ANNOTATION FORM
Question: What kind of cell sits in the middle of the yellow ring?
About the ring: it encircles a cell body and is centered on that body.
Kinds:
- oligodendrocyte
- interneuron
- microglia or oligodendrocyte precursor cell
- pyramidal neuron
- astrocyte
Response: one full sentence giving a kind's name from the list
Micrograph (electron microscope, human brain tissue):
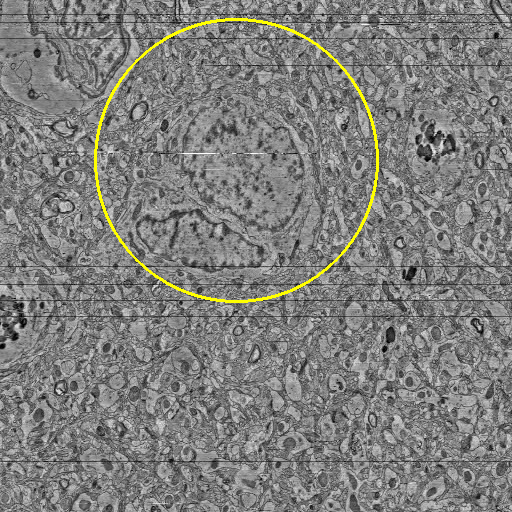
The kind of cell found at the center of the yellow ring in the micrograph is an interneuron.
